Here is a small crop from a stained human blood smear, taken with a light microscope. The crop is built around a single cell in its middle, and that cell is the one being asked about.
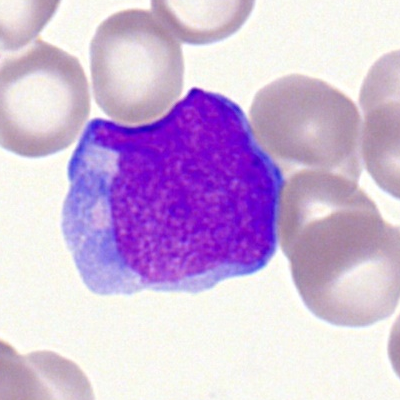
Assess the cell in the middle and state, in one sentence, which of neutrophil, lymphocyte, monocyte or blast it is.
Here the cell in the middle is a blast.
